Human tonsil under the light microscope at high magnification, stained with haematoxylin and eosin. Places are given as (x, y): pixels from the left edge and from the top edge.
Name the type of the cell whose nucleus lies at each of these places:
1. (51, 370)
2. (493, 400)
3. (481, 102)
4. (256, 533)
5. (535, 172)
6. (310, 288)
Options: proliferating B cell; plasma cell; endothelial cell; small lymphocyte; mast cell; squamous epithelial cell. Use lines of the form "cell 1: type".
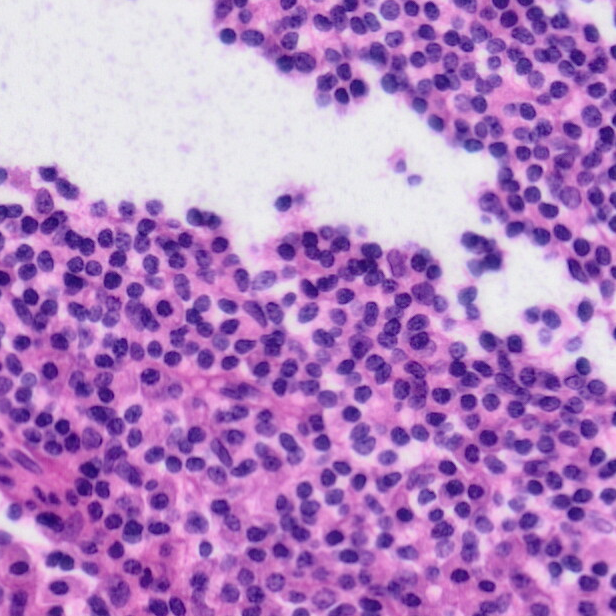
cell 1: plasma cell
cell 2: small lymphocyte
cell 3: small lymphocyte
cell 4: plasma cell
cell 5: small lymphocyte
cell 6: small lymphocyte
